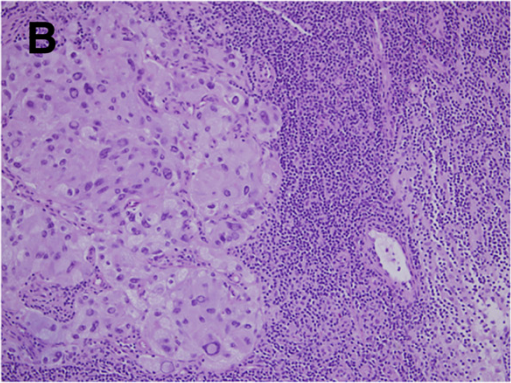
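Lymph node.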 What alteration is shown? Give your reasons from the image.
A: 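A nest of large polygonal cells with pale pink cytoplasm sits on the left. It lies directly beside a dense sheet of small dark round lymphocytes.
Answer: metastasis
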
